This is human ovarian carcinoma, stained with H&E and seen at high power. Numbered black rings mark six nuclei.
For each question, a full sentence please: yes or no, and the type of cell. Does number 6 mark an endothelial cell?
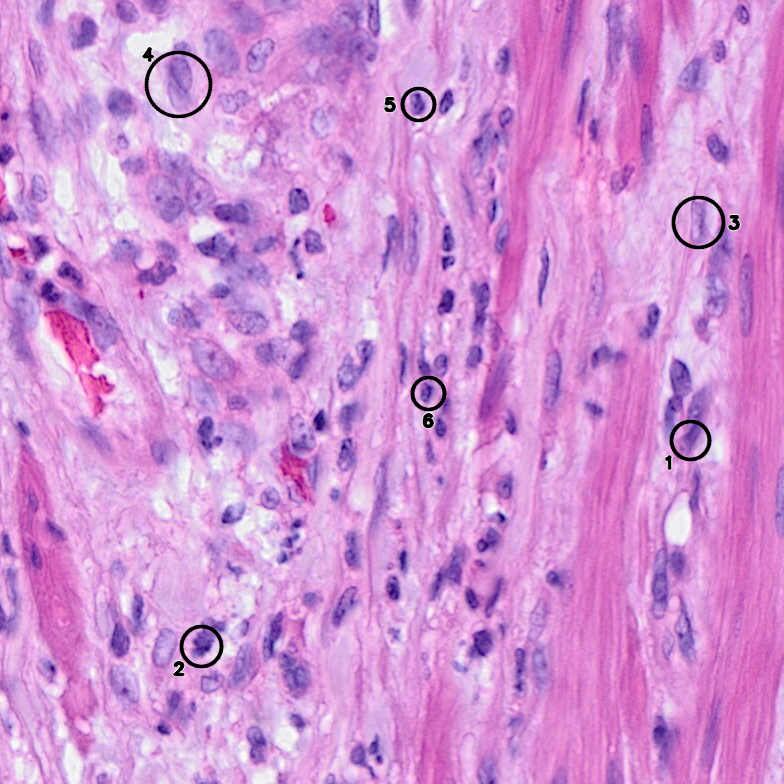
No, cell 6, which is a lymphocyte, is not an endothelial cell.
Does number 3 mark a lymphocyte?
No, the cell tagged 3 is a fibroblast, and not a lymphocyte.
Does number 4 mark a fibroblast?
Yes, of the numbered cells, number 4 is a fibroblast.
